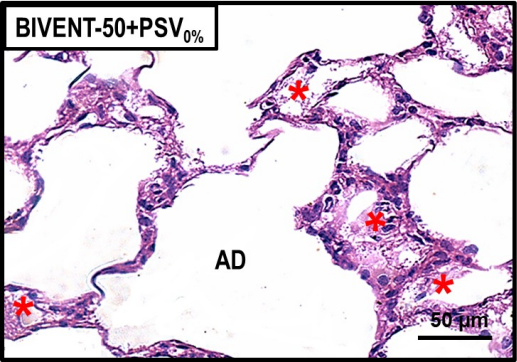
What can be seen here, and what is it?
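This is lung parenchyma with a large open alveolar duct surrounded by thin alveolar septa lined by purple nuclei. In several places the septa are widened by pale pink, loosely textured material with few cells, giving a swollen look to the walls. Most of the airspaces stay open, and the septa between them are thin apart from these widened spots.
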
